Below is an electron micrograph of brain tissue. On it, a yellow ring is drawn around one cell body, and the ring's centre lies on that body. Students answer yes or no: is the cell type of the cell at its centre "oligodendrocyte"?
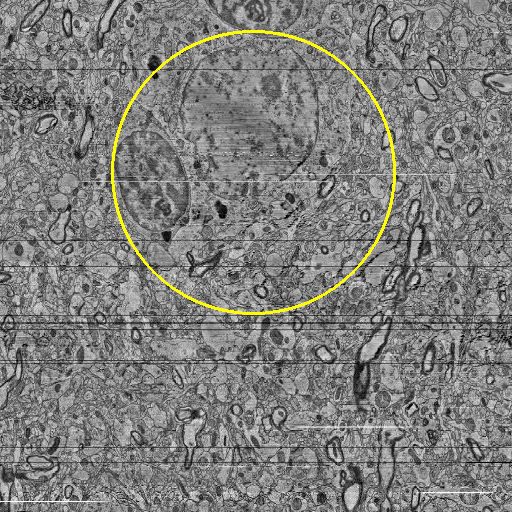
no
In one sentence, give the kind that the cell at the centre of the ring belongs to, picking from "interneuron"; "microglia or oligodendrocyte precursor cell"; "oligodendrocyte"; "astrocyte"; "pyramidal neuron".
It is an interneuron that the ring is centred on.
